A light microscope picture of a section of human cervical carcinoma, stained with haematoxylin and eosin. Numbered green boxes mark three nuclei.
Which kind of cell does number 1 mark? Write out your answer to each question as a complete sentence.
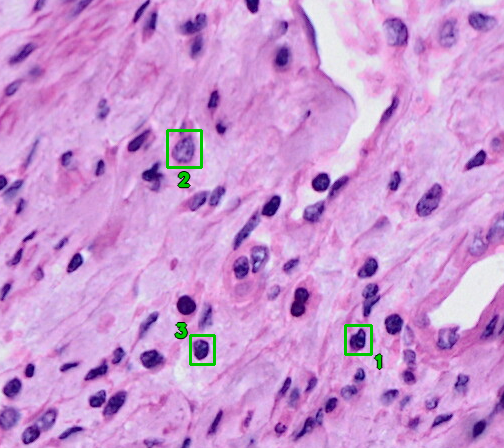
The cell referred to as 1 is a lymphocyte.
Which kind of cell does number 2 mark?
Here the cell numbered 2 is a macrophage or monocyte.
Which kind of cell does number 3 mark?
Cell 3 in the field is a lymphocyte.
